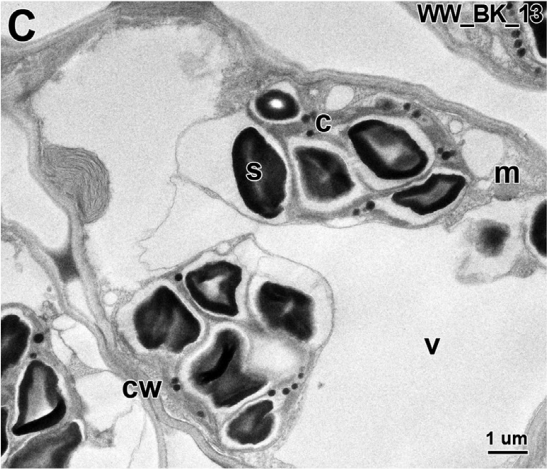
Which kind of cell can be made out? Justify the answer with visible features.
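Thin-walled cells with a large vacuole. Chloroplasts filled with large electron-dense grains sit in the peripheral cytoplasm. On this evidence: mesophyll cells.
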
